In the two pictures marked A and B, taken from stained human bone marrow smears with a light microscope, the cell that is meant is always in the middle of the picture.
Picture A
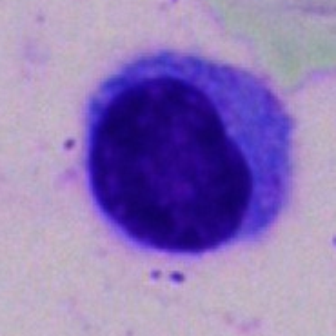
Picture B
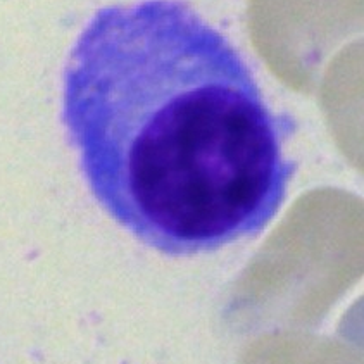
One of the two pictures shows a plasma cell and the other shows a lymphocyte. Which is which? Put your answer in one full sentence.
It is picture A that shows a lymphocyte, and picture B that shows a plasma cell.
